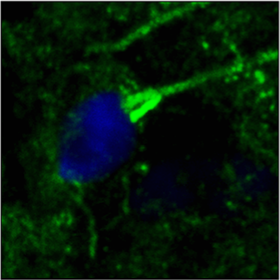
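Right beside the head a short, thick, brightly green segment starts, the mid-piece, and it tapers into a long, thinner green tail running off toward the upper right. A second thin green thread crosses the field above. The background is speckled with faint green dots, and a dimmer blue shape lies next to the sperm head.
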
